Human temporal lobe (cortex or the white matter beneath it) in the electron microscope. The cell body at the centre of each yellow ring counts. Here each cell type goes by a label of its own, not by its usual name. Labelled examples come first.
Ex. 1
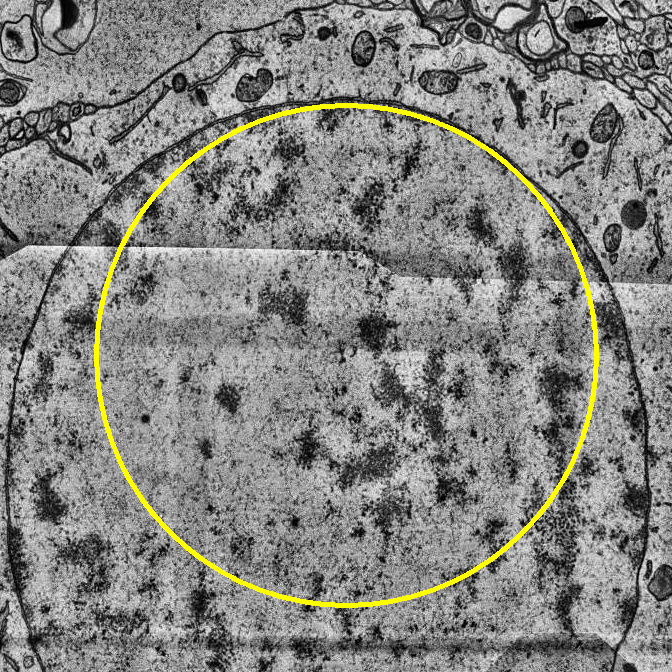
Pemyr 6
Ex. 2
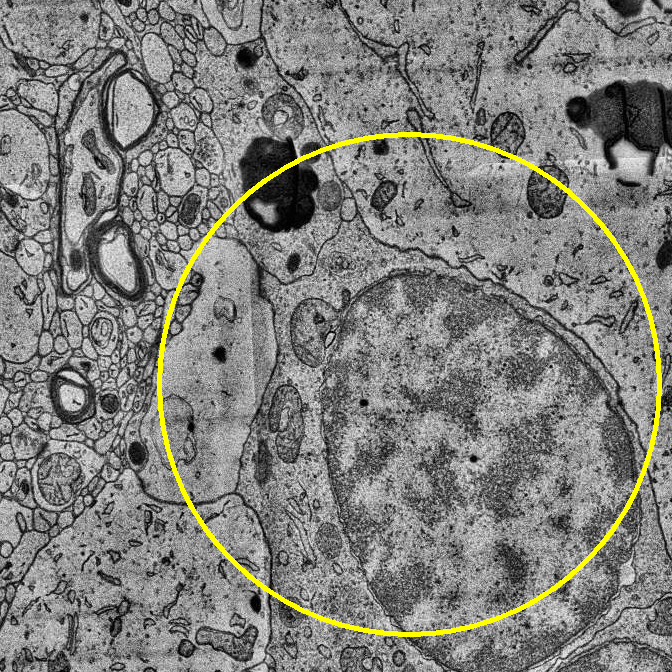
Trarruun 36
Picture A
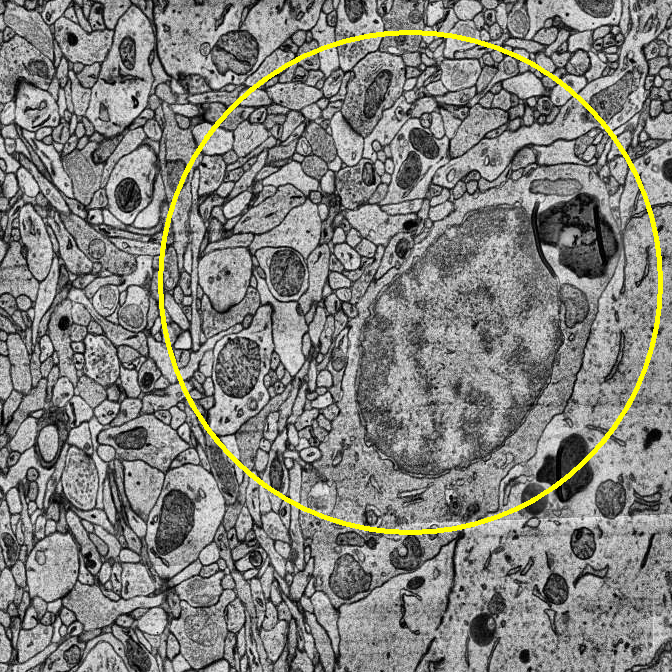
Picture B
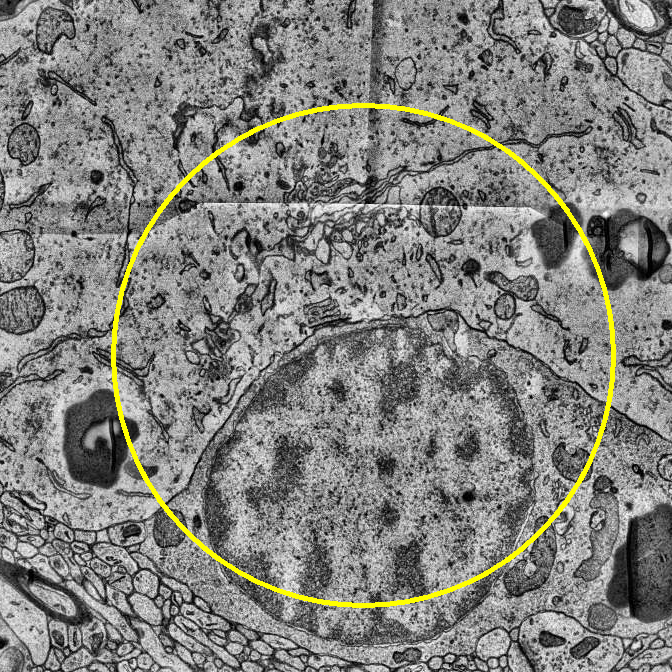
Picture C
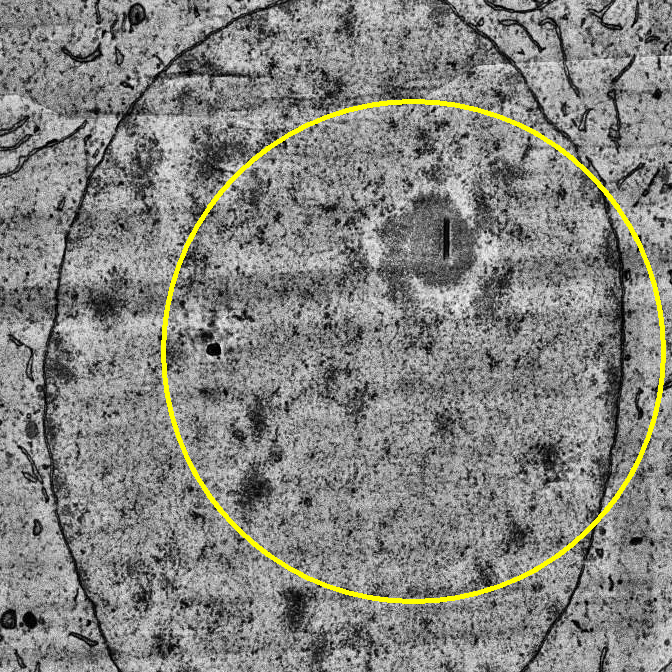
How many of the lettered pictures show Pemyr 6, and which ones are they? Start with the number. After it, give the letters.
Count: 1 (C)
